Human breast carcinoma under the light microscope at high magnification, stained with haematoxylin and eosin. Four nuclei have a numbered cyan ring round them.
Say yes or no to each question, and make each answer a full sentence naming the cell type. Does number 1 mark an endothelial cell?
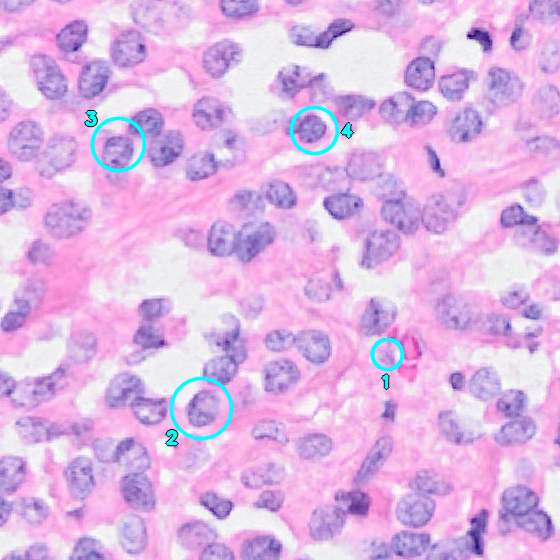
Yes, the cell that is numbered 1 is an endothelial cell.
